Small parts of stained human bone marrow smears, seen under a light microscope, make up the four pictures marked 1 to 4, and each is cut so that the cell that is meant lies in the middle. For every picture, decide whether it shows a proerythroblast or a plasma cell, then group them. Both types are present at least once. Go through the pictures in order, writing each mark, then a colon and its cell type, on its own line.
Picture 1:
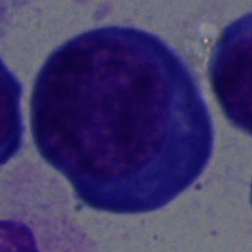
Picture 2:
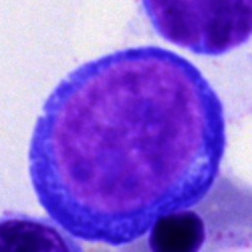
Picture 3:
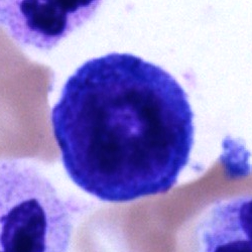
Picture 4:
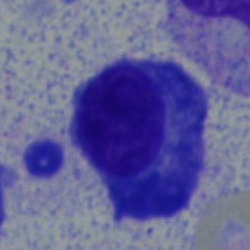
1: proerythroblast
2: proerythroblast
3: proerythroblast
4: plasma cell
